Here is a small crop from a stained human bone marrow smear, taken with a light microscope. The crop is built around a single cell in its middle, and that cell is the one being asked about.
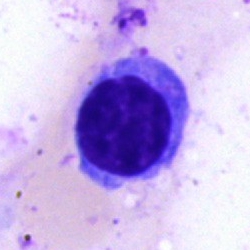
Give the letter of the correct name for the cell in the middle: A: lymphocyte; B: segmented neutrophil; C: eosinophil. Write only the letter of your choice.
A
